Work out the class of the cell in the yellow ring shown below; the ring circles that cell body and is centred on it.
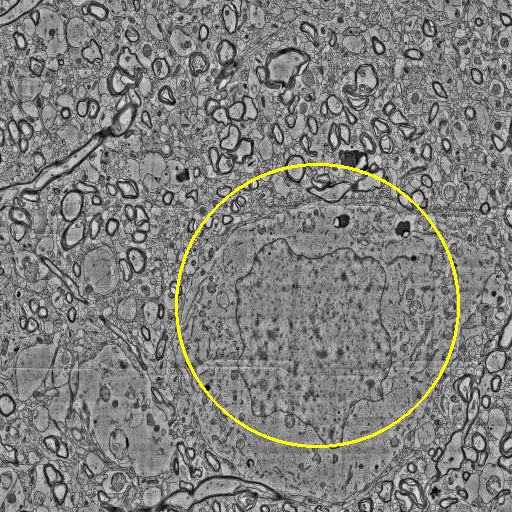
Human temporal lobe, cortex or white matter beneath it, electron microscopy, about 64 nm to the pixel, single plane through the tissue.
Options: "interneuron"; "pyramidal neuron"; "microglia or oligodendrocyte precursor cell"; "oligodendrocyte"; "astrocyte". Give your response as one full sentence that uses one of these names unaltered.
The body ringed in yellow, right at the ring's centre, is that of a pyramidal neuron.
